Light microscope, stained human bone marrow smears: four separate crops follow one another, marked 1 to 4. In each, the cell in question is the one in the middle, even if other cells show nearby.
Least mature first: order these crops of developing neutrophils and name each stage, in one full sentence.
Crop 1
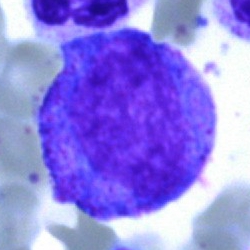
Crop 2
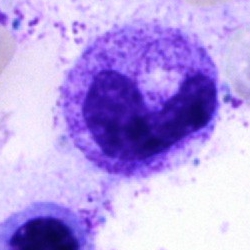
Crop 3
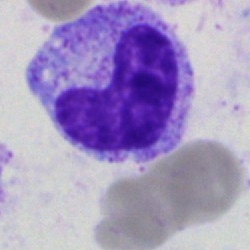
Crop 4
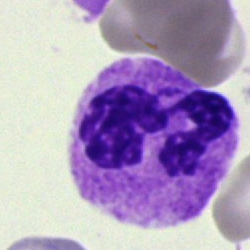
Arranged from least mature to most mature, the sequence reads crop 1 (a promyelocyte), crop 3 (a metamyelocyte), crop 2 (a band neutrophil) and crop 4 (a segmented neutrophil).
